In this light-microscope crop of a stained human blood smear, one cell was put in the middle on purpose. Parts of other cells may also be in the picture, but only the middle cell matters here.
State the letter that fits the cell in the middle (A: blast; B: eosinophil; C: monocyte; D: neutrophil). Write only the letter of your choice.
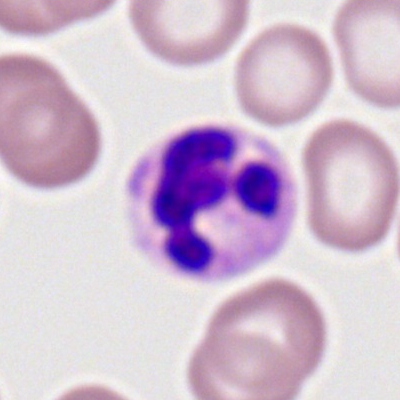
D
